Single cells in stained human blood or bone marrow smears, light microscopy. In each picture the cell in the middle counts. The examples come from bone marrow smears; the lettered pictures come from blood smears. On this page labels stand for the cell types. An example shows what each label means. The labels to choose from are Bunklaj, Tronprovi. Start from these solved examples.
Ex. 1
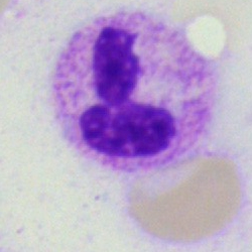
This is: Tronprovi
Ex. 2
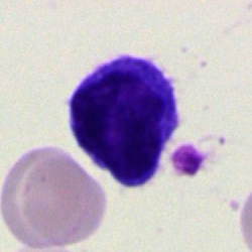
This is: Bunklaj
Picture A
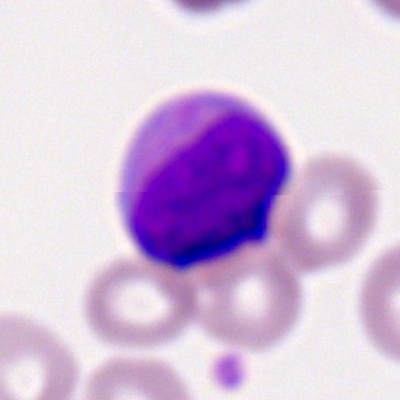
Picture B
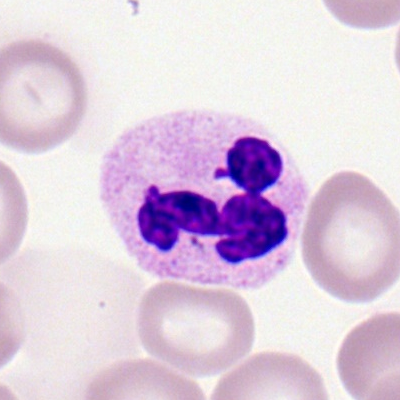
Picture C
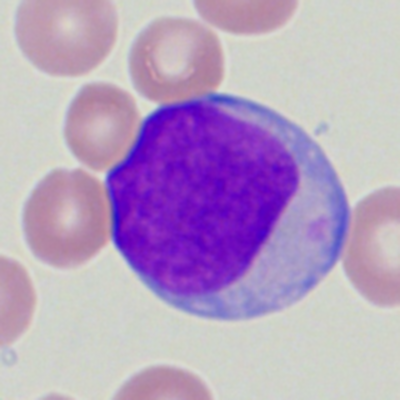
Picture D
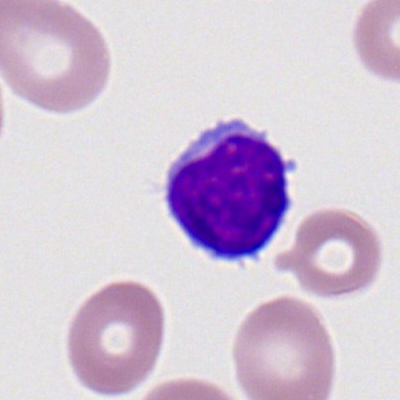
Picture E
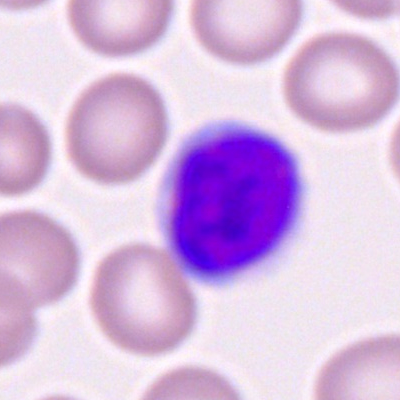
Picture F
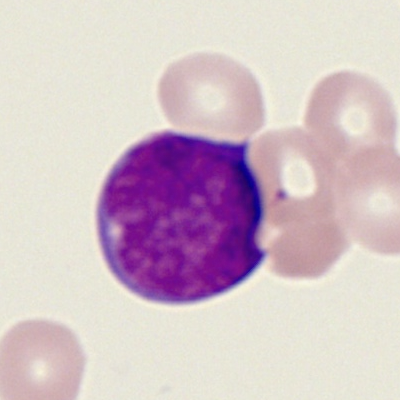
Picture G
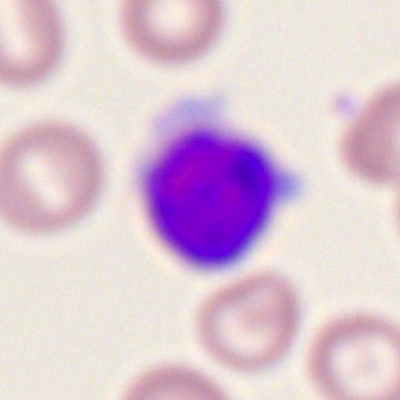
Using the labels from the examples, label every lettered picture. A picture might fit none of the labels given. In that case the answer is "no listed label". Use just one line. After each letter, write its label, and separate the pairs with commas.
A no listed label, B Tronprovi, C no listed label, D Bunklaj, E Bunklaj, F no listed label, G Bunklaj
